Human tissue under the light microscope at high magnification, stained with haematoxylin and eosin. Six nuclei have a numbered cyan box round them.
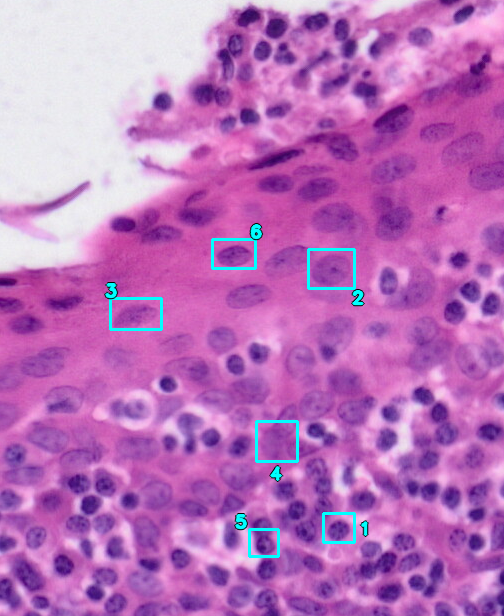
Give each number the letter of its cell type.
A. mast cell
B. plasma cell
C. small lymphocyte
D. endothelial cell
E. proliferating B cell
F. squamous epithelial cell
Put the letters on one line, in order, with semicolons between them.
B; F; F; F; B; F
